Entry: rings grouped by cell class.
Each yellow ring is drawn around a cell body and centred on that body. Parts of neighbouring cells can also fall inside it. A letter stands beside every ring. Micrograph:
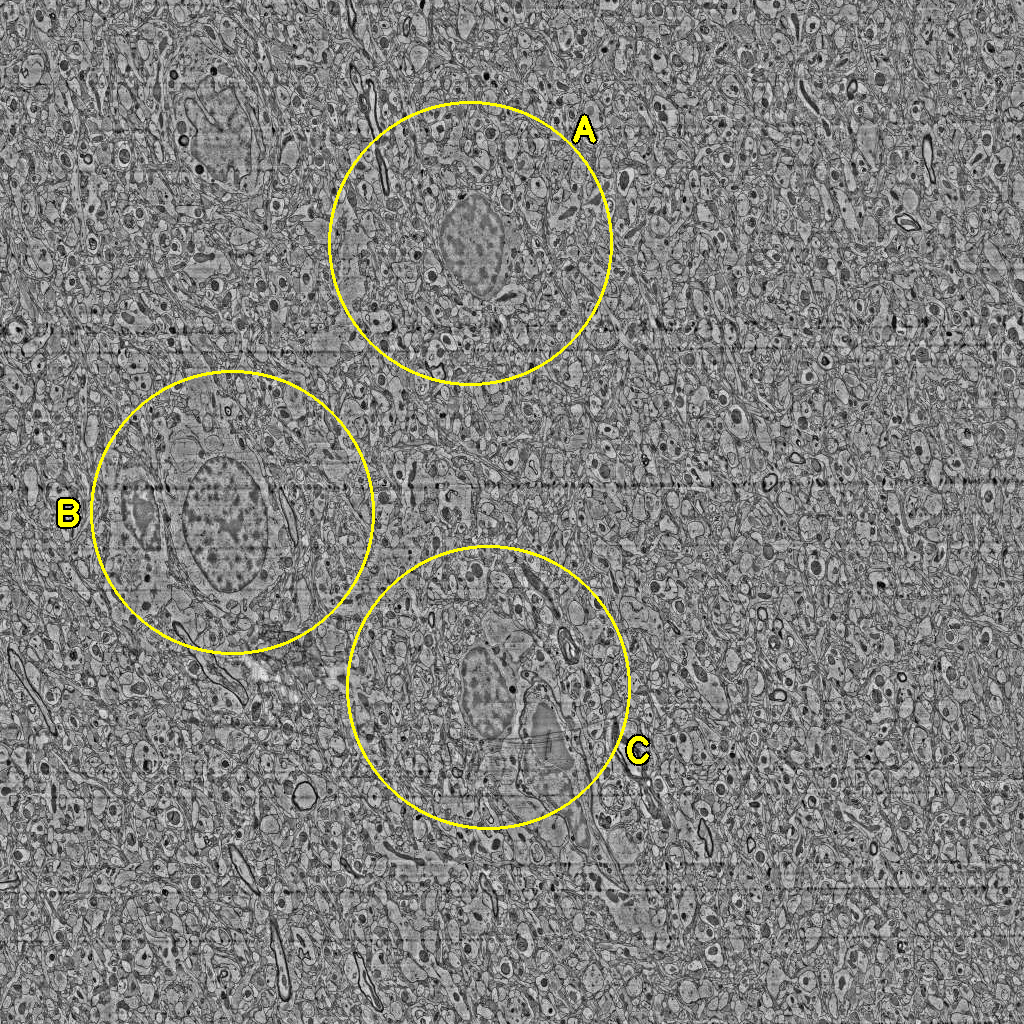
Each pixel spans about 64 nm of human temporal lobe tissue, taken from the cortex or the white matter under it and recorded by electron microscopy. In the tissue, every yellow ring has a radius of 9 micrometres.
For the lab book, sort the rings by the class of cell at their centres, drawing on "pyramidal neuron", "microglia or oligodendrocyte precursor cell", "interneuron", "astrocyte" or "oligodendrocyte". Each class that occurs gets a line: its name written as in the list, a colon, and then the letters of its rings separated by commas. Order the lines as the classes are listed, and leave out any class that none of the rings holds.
astrocyte: B
oligodendrocyte: A, C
